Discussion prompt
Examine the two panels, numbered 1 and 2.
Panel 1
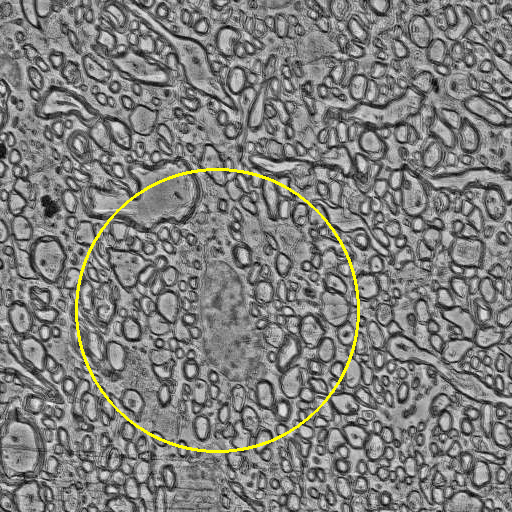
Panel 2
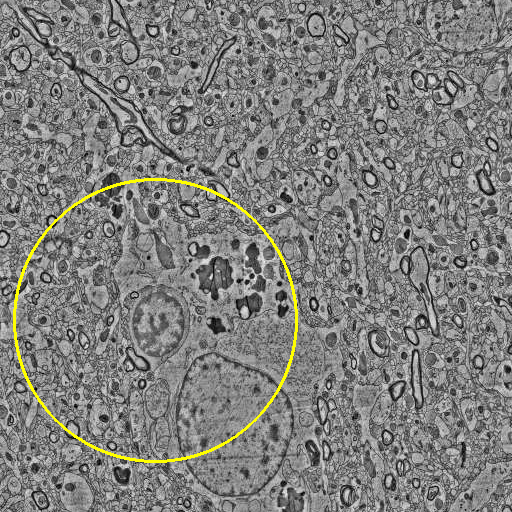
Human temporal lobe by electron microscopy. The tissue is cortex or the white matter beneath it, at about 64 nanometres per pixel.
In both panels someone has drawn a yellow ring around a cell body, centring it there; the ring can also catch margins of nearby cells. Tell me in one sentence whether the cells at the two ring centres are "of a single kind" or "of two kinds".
Taken together, the two cells centred in the rings of Panels 1 and 2 are of a single kind.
